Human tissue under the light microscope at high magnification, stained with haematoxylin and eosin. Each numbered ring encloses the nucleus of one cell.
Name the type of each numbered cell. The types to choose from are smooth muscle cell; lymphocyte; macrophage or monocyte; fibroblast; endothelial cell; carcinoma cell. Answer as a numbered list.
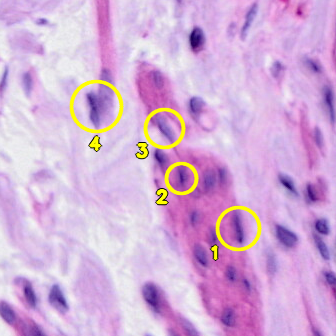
1. smooth muscle cell
2. smooth muscle cell
3. smooth muscle cell
4. fibroblast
